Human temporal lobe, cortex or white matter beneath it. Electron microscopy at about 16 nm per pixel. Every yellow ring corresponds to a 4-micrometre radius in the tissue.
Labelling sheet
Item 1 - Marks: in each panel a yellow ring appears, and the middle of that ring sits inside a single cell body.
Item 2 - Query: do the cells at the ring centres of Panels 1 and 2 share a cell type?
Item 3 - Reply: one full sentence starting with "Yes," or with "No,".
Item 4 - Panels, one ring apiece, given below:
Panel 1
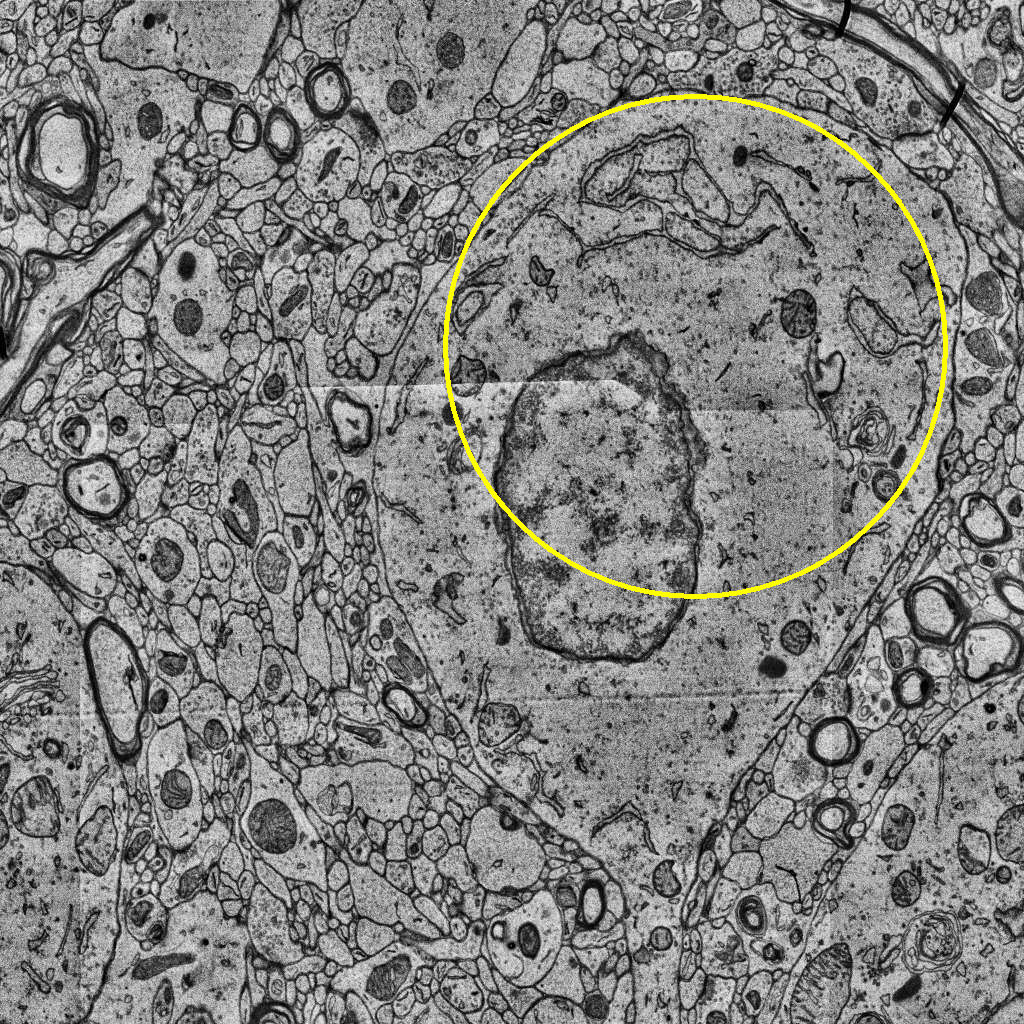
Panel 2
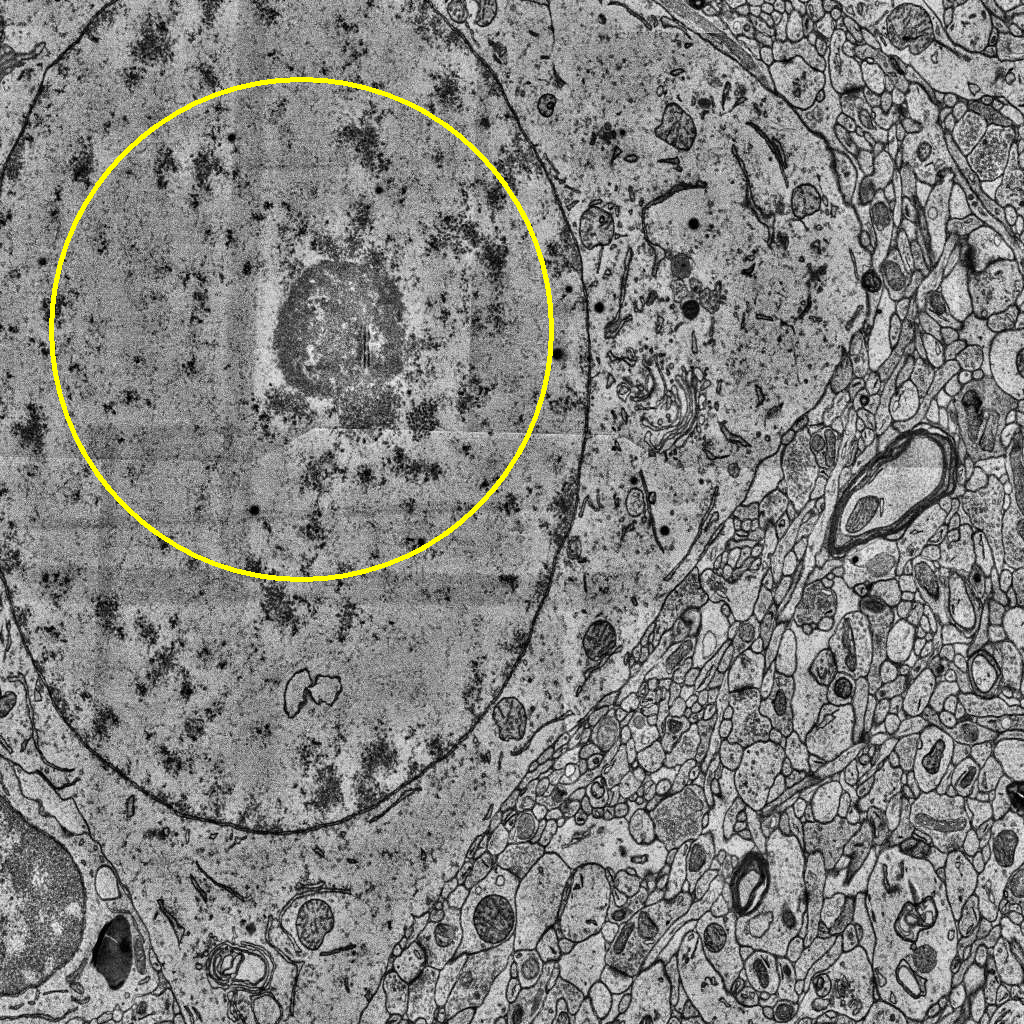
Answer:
Yes, Panel 1 and Panel 2 show one cell type at the centres of their rings.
